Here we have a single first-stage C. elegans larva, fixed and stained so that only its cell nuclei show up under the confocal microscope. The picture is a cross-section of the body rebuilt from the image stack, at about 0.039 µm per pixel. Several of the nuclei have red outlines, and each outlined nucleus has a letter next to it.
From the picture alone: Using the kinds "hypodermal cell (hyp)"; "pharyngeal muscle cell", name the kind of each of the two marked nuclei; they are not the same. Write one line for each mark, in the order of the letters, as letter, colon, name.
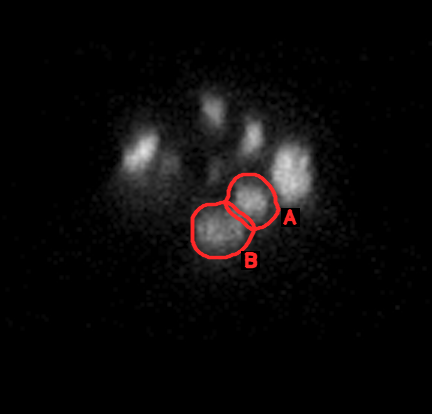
A: pharyngeal muscle cell
B: hypodermal cell (hyp)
